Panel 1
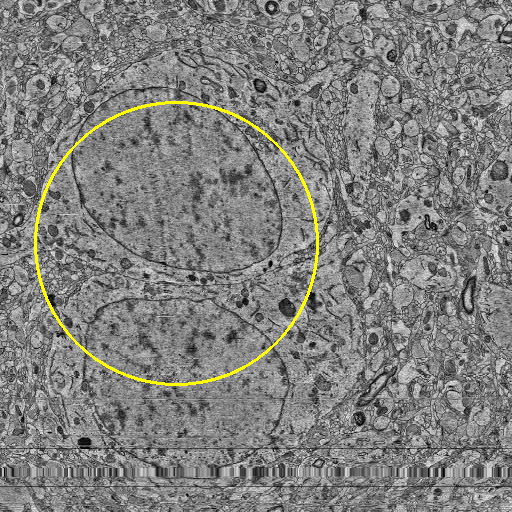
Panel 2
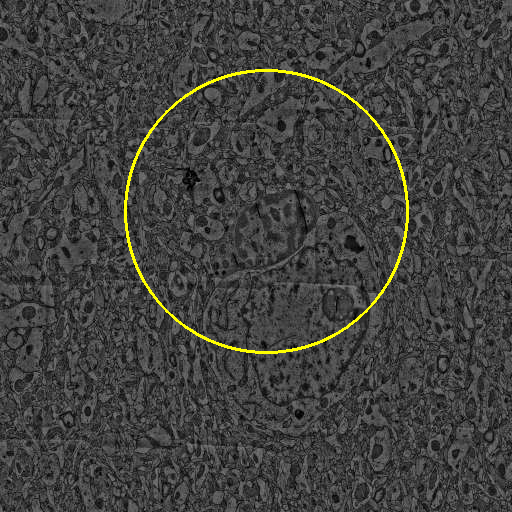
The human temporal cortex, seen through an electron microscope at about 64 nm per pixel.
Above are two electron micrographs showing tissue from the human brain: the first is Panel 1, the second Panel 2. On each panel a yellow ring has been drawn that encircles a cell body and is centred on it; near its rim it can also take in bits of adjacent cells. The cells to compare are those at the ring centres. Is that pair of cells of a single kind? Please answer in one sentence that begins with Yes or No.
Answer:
No, the ring-centred cells of Panel 1 and Panel 2 belong to two kinds.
